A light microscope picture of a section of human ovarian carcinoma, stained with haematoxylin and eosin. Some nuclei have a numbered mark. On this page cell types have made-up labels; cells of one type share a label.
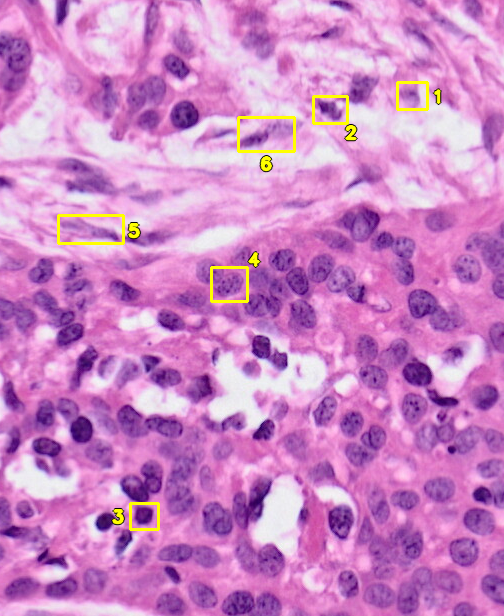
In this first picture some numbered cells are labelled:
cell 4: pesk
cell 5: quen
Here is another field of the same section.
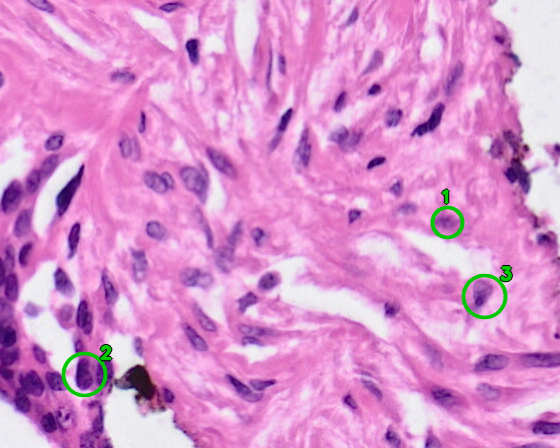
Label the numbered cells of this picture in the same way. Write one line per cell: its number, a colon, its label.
1: quen
2: pesk
3: quen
